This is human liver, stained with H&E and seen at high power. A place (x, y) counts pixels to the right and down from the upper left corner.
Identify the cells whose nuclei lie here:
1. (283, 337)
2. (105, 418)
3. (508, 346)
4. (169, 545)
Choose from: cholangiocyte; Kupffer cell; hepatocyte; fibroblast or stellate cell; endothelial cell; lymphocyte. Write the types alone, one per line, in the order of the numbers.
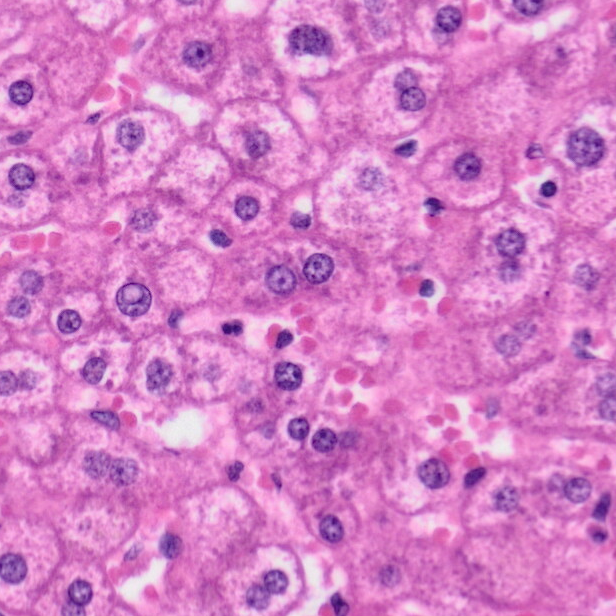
lymphocyte
Kupffer cell
hepatocyte
endothelial cell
